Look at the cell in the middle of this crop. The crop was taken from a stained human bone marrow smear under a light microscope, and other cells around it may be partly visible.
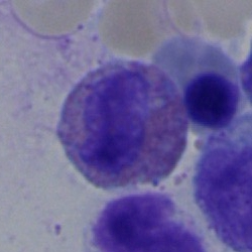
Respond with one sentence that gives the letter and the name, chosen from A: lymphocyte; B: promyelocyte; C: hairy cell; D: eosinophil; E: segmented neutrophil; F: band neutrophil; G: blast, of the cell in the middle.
The one to choose is option D, as the cell in the middle is an eosinophil.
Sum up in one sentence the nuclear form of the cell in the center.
There is one compact nucleus, and its shape is round, oval or kidney-like.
